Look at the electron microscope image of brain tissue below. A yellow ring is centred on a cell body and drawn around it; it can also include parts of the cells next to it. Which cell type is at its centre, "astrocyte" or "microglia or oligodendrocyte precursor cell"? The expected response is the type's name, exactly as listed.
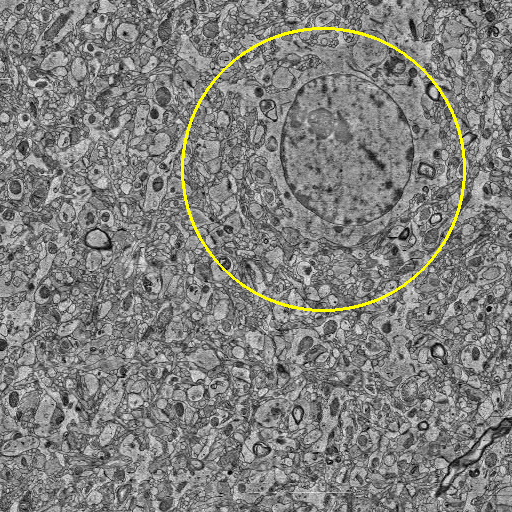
astrocyte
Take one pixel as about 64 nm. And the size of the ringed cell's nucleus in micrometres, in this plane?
Approximately 10 micrometres long and 9 micrometres wide, in this plane.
